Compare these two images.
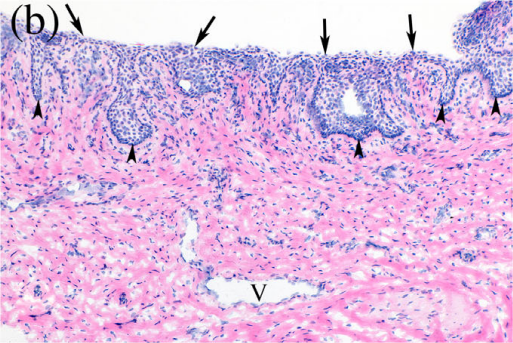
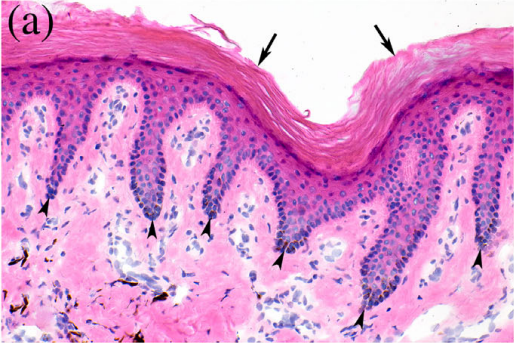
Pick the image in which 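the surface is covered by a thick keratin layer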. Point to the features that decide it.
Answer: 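First image: nucleated epithelial cells reach the surface with no thick pink layer on top. Second image: a thick pink laminated acellular layer covers the epithelium.
Answer: the second image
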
